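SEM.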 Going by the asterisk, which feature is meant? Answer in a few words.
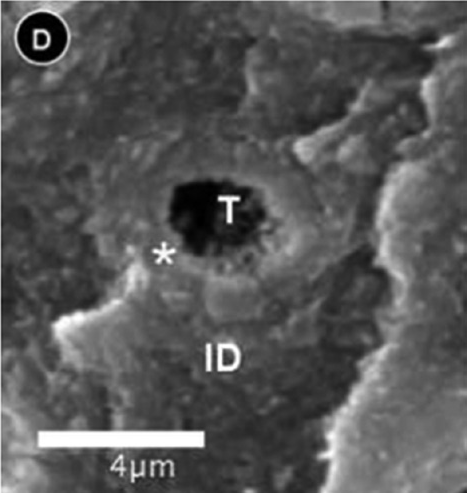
Peritubular dentin.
